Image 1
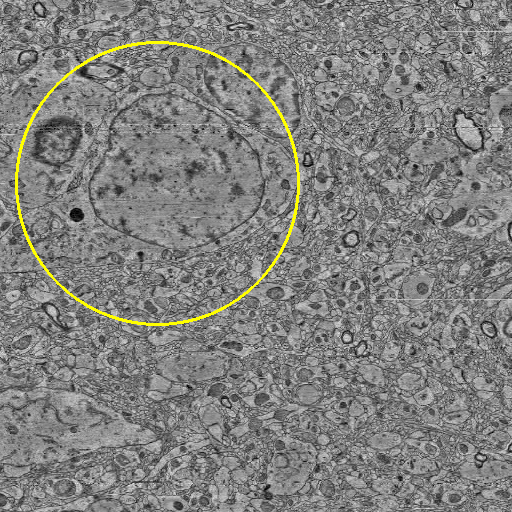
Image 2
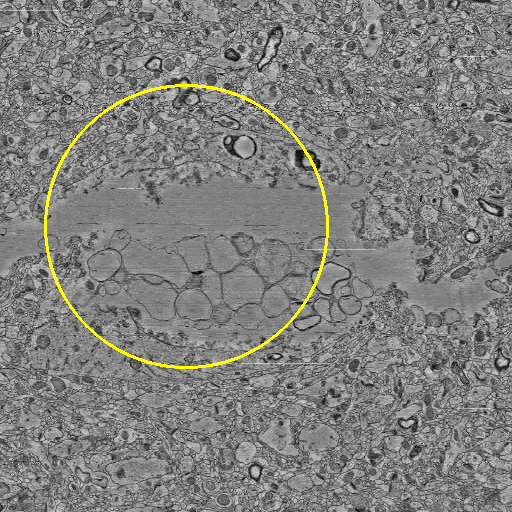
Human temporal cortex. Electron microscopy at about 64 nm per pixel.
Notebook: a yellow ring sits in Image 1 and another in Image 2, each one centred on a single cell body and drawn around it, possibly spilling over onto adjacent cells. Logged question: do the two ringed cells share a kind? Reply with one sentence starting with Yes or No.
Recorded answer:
Yes, both centre cells inside the rings of Image 1 and Image 2 share one kind.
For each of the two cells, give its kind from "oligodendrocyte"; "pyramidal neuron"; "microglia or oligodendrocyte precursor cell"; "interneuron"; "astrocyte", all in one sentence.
The ring centre holds a pyramidal neuron in each of the two pictures.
